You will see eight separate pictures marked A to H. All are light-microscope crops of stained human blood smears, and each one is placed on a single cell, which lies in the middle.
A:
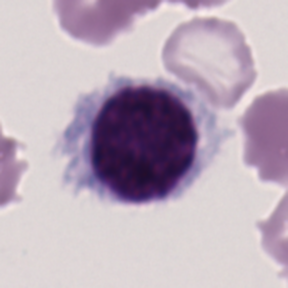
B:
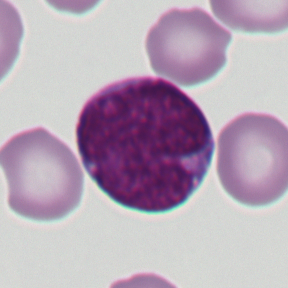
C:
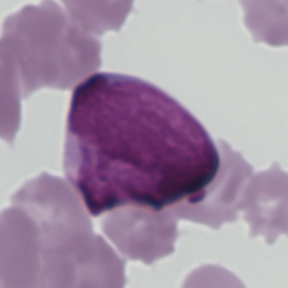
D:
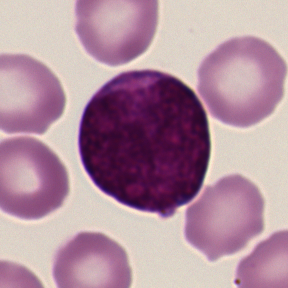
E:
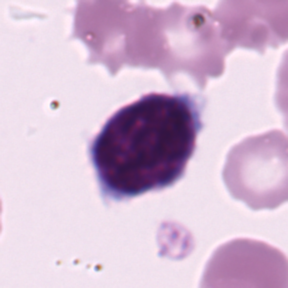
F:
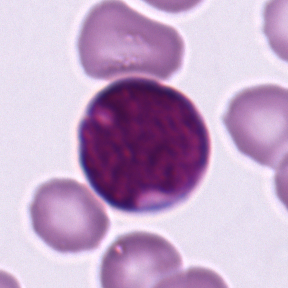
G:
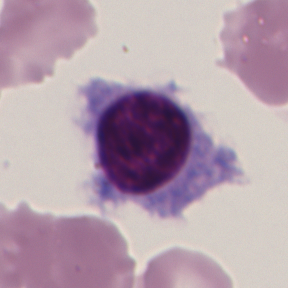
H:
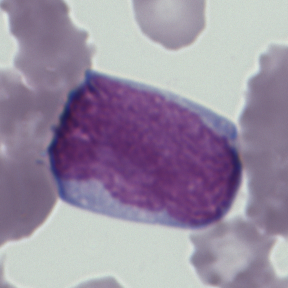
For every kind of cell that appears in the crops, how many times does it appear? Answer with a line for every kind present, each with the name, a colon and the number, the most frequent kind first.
myeloblast: 5
hairy cell: 3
